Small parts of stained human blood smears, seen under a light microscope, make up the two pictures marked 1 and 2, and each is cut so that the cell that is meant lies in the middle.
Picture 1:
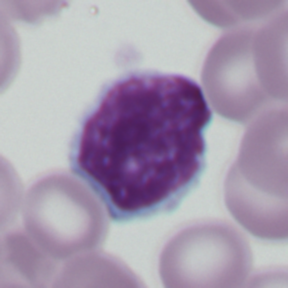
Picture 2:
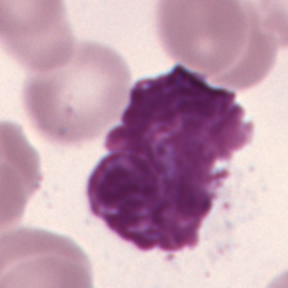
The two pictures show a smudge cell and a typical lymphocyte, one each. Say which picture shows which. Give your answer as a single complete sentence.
Picture 1 is of a typical lymphocyte, and picture 2 is of a smudge cell.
